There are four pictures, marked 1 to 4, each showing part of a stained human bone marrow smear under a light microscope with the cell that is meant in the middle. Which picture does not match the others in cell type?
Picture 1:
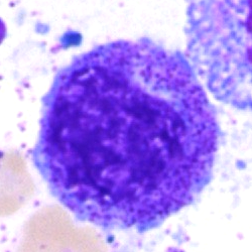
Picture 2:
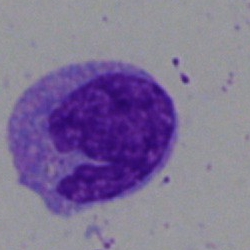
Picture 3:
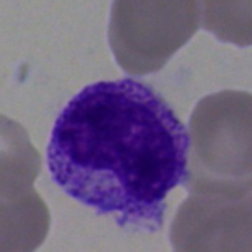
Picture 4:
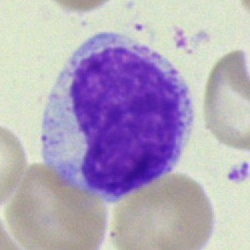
2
